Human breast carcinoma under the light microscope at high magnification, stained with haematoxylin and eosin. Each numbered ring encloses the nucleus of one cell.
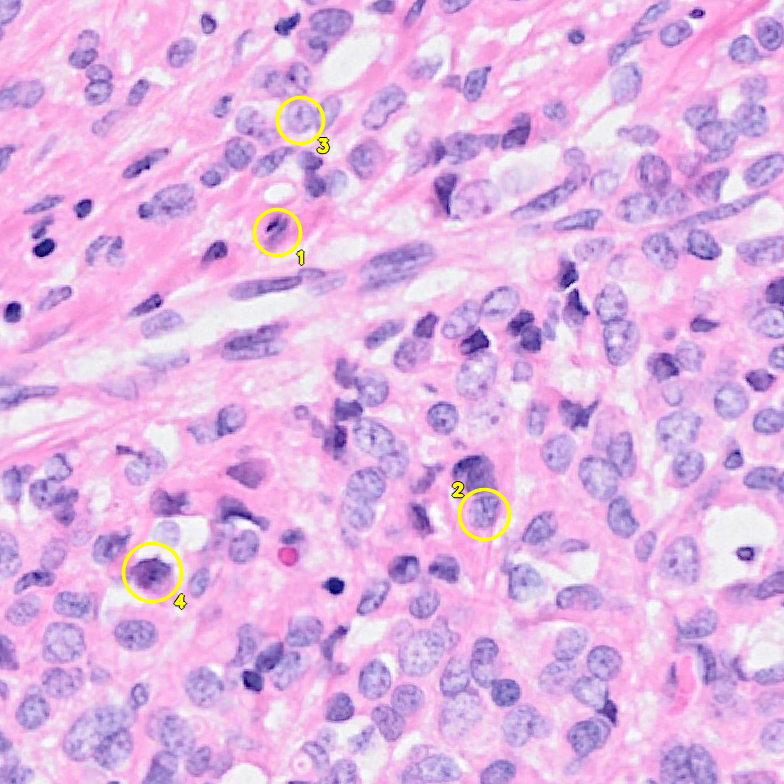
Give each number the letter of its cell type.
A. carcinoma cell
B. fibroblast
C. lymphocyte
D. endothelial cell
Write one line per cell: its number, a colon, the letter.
1: D
2: A
3: A
4: A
